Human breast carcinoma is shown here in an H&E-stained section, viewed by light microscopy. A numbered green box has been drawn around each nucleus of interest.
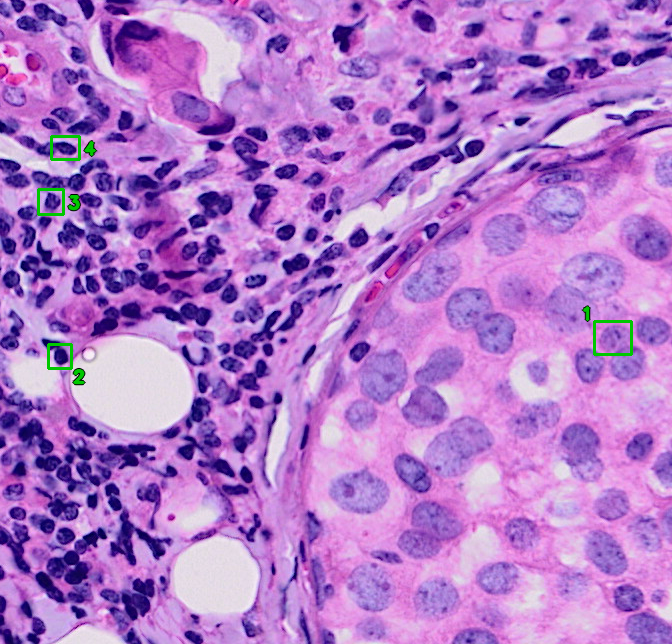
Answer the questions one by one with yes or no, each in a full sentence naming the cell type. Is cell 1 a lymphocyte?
No, with respect, cell 1 is a carcinoma cell rather than a lymphocyte.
